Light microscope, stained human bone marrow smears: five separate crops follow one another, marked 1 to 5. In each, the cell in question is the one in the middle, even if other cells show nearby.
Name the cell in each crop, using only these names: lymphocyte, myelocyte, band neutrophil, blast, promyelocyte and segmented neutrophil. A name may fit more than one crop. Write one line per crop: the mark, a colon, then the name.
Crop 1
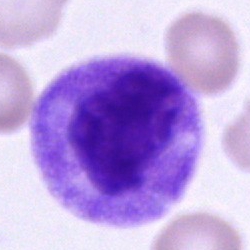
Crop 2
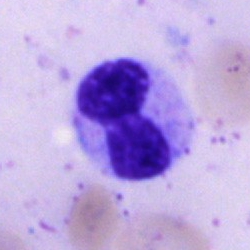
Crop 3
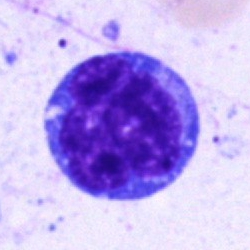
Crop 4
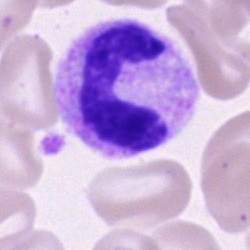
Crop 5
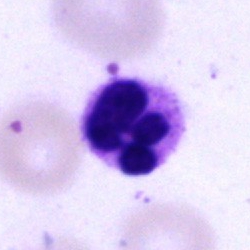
1: myelocyte
2: band neutrophil
3: blast
4: band neutrophil
5: segmented neutrophil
